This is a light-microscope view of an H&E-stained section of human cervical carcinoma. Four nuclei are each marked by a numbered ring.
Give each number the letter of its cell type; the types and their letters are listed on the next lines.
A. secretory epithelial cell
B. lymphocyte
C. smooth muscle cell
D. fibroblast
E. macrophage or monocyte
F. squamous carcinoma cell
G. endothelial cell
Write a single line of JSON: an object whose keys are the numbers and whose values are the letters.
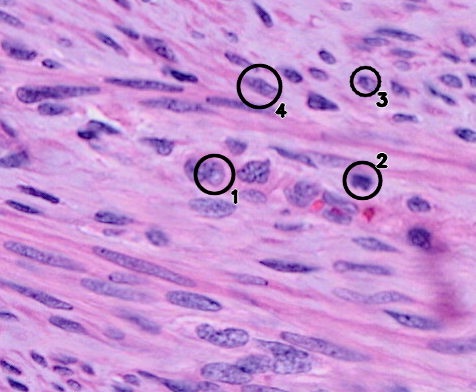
{"1": "G", "2": "B", "3": "C", "4": "C"}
